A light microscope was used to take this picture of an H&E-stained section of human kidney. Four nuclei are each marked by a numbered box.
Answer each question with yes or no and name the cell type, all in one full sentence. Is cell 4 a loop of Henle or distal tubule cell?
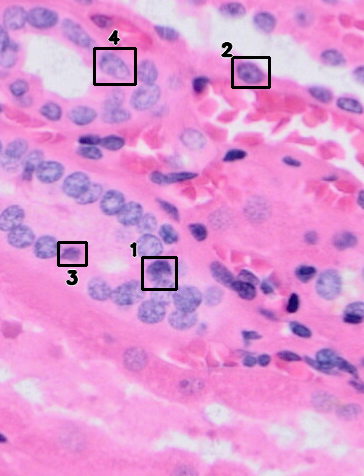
No, number 4 is assigned to a collecting duct cell, not to a loop of Henle or distal tubule cell.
